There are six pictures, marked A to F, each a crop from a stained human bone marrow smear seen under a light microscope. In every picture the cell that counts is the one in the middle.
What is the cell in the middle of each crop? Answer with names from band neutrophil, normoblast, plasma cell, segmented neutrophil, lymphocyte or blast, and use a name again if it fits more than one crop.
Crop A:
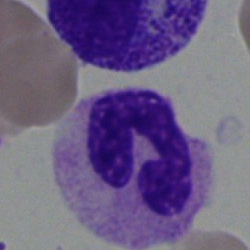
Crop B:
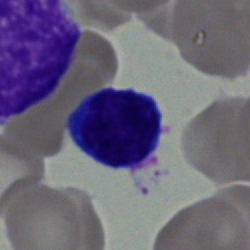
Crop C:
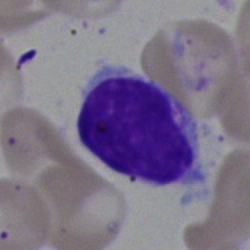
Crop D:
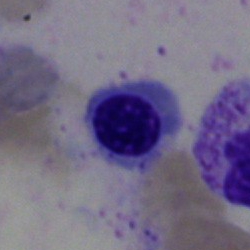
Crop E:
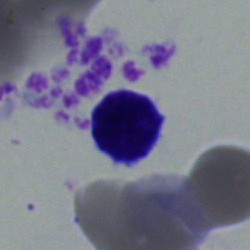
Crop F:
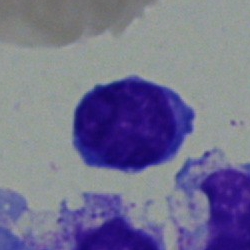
A: segmented neutrophil
B: lymphocyte
C: lymphocyte
D: normoblast
E: lymphocyte
F: lymphocyte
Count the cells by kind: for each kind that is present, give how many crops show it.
lymphocyte: 4
segmented neutrophil: 1
normoblast: 1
